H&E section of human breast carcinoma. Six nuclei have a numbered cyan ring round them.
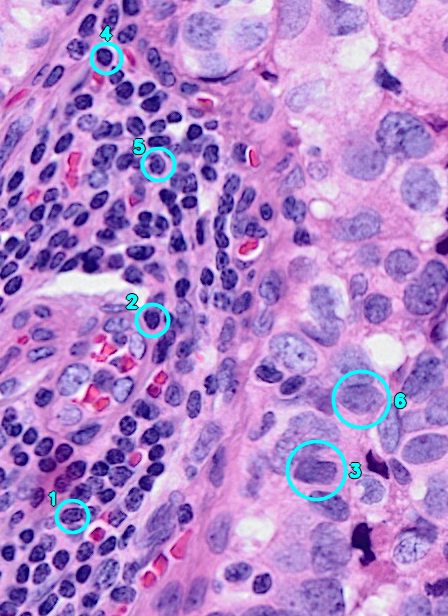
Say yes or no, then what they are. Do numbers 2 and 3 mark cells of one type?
No, unlike cell 2, which is a lymphocyte, cell 3 is a carcinoma cell.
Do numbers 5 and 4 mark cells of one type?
Yes, the cell marked 5 and the cell marked 4 are both lymphocytes.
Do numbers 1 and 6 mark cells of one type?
No, not so; cell 1 is a lymphocyte and cell 6 is a carcinoma cell.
